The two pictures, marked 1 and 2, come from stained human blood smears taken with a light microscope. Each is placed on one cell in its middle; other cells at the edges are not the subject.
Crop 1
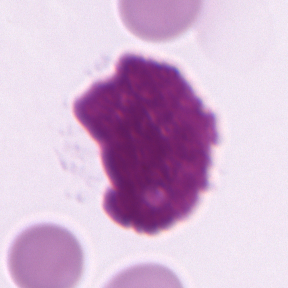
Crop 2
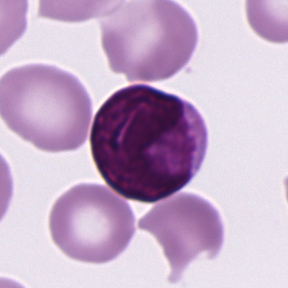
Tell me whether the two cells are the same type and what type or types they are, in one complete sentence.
No, crop 1 is where a smudge cell is shown, and crop 2 is where a myeloblast is shown.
